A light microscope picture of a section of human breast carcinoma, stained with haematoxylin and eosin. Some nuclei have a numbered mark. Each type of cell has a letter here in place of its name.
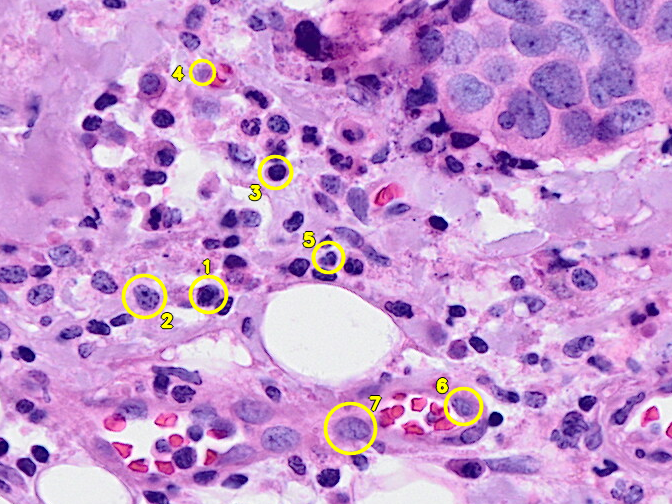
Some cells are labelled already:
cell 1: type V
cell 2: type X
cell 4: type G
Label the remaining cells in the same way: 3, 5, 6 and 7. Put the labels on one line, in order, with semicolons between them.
type V; type V; type G; type G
